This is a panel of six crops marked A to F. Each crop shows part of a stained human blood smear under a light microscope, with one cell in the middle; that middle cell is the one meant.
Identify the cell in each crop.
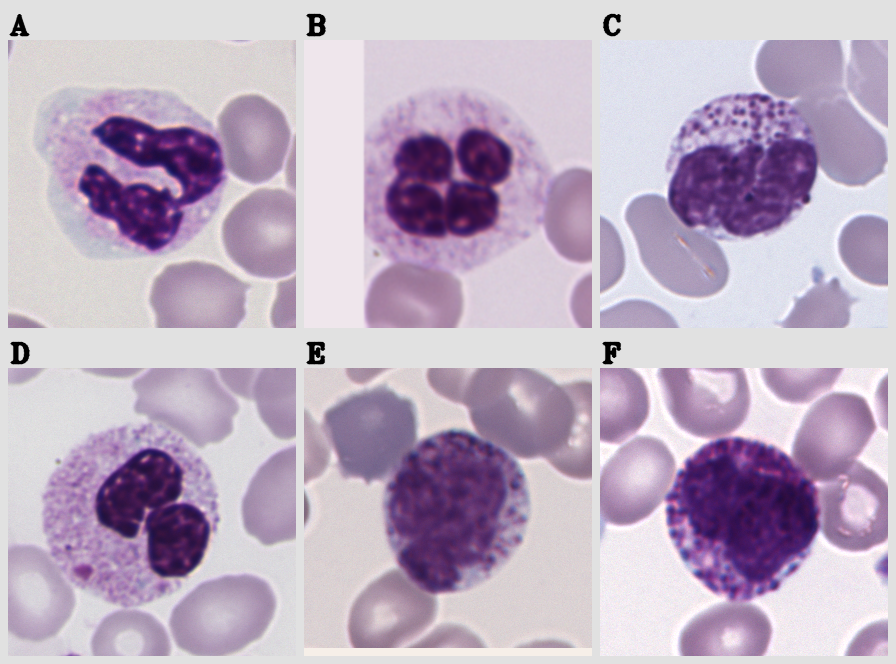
A: segmented neutrophil
B: segmented neutrophil
C: basophil
D: segmented neutrophil
E: basophil
F: basophil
